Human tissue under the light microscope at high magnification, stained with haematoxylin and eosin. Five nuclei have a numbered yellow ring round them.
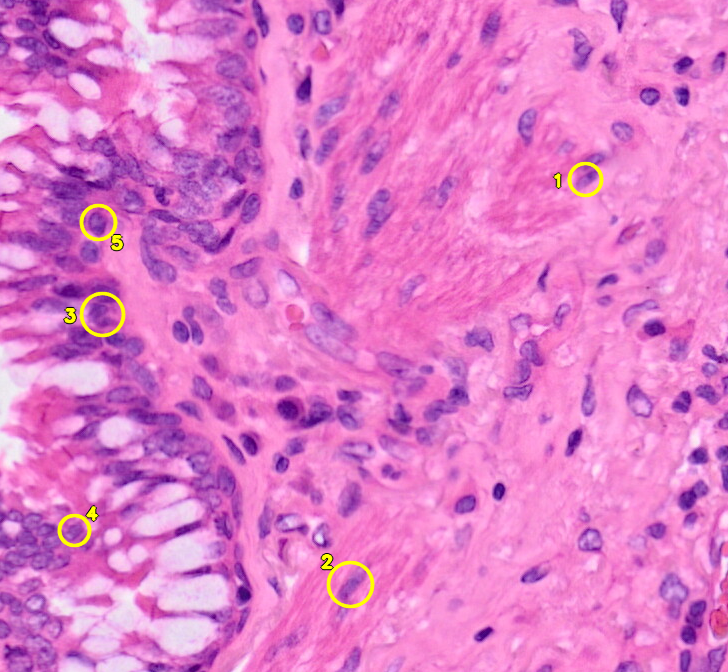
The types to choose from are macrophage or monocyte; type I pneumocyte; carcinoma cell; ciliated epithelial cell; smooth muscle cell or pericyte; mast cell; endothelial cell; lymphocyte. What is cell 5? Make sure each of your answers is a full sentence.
Belonging to a ciliated epithelial cell is the nucleus that carries the number 5.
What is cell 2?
The one numbered 2 among the marked cells is a smooth muscle cell or pericyte.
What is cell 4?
Of the numbered cells, the one labelled 4 is a ciliated epithelial cell.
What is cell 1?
Cell 1 of the marked set is a smooth muscle cell or pericyte.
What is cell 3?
Number 3 is placed on a ciliated epithelial cell here.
